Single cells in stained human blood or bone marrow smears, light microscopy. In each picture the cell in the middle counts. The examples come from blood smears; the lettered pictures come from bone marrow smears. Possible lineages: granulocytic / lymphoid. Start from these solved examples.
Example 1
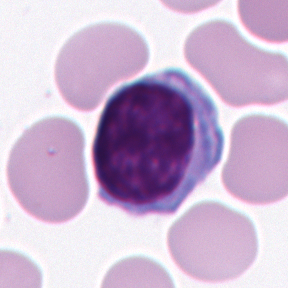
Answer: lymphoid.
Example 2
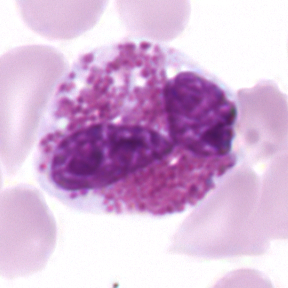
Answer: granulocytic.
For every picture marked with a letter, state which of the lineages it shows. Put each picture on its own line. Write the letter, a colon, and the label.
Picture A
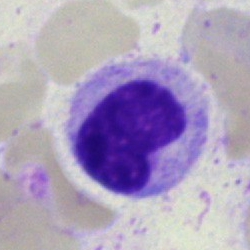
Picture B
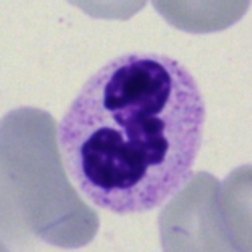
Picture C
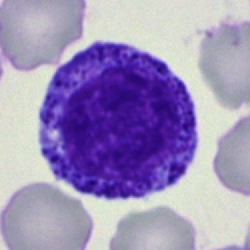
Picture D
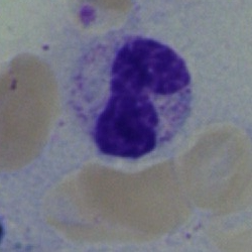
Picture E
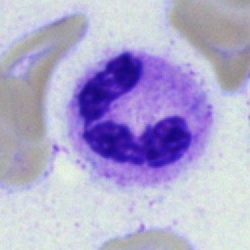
A: granulocytic.
B: granulocytic.
C: granulocytic.
D: granulocytic.
E: granulocytic.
